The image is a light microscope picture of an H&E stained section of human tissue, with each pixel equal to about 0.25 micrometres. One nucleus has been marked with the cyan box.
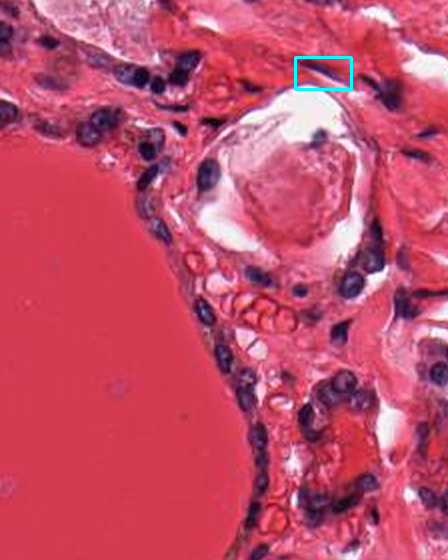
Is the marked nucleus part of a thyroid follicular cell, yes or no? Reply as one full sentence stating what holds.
No, the marked nucleus lies within a supporting cell, not within a thyroid follicular cell.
